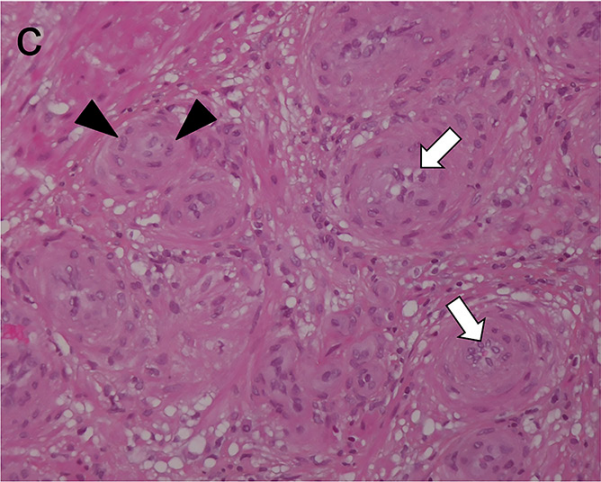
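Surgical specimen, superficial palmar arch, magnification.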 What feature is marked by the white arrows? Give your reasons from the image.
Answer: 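The white arrows point to the centres of small round whorls. Cells are arranged concentrically around these small centres. On this evidence: smaller vessels.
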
